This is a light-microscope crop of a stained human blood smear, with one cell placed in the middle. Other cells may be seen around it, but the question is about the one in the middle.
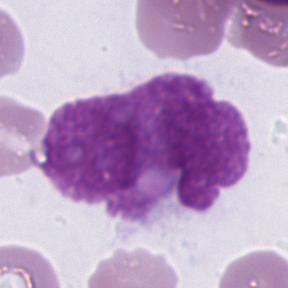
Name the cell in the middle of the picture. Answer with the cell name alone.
smudge cell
